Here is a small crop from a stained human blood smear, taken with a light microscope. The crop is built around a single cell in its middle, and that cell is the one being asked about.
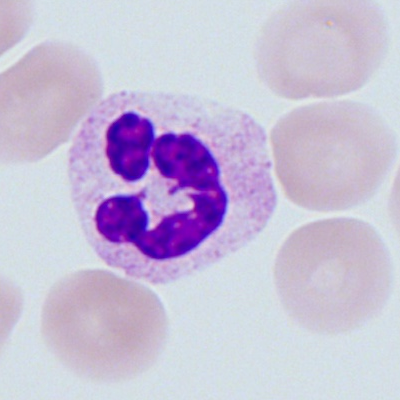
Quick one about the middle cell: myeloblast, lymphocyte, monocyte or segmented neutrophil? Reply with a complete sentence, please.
The cell at the middle of the crop is recognized as a segmented neutrophil.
